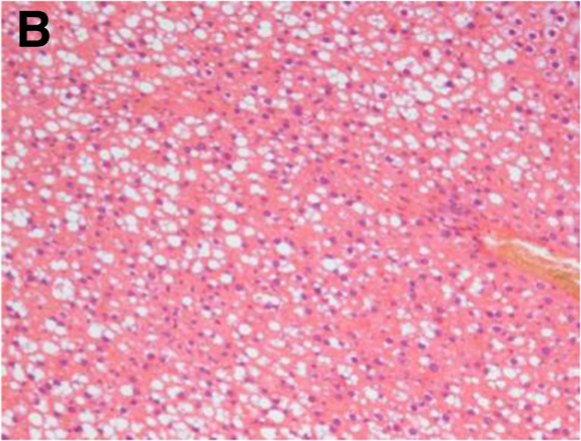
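This is liver tissue in which the hepatocytes show widespread steatosis: their cytoplasm is occupied by many round, clear, empty-looking vacuoles of varying size. Purple nuclei and strands of pink cytoplasm remain between the vacuoles, and the change affects cells throughout the field.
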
